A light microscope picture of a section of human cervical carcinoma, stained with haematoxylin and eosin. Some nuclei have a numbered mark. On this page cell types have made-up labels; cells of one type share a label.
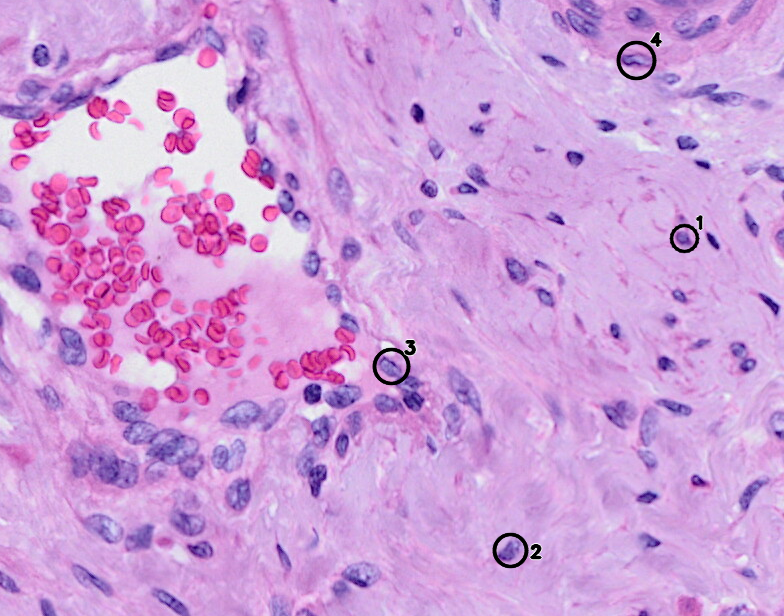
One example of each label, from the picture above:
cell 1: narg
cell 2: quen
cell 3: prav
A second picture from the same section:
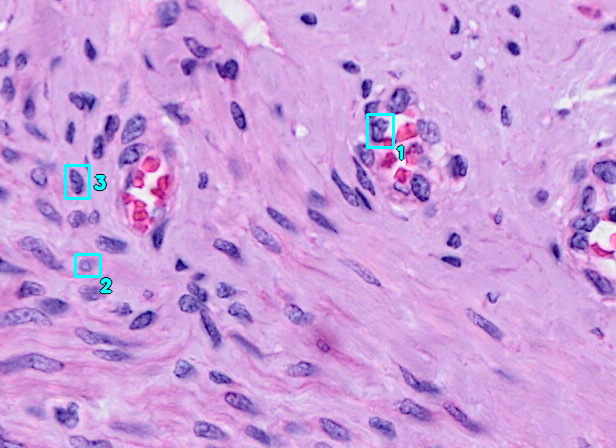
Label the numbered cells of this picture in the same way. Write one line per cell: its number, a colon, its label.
1: prav
2: narg
3: quen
